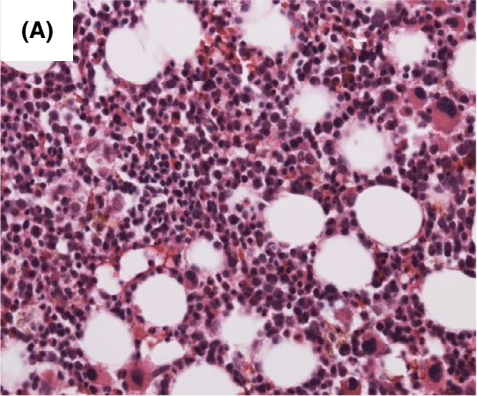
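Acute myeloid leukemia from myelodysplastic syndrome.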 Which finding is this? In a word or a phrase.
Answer: Hypercellular marrow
